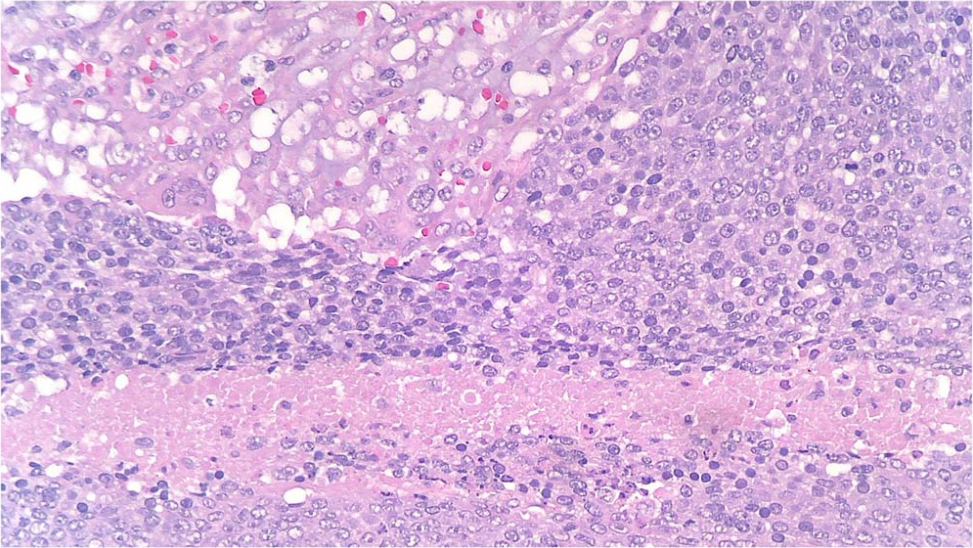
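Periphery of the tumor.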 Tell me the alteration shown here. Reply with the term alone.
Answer: necrosis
